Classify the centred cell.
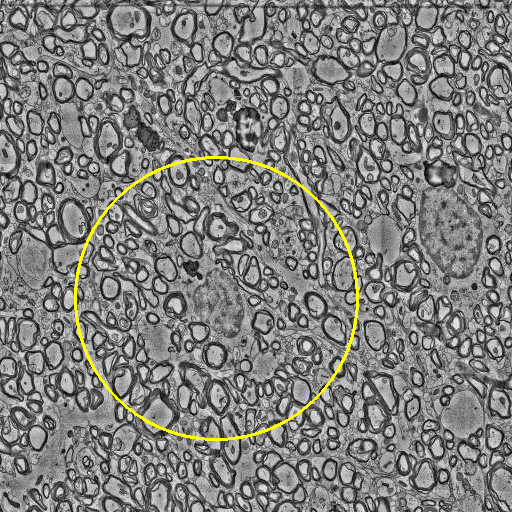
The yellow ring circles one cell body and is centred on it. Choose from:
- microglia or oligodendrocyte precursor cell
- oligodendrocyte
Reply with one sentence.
The ring is centred on an oligodendrocyte.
